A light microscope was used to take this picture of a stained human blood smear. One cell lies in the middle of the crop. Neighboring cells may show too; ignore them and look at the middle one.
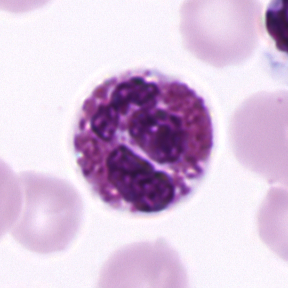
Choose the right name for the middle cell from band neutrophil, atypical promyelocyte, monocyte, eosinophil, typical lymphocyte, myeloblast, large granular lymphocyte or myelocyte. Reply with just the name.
eosinophil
